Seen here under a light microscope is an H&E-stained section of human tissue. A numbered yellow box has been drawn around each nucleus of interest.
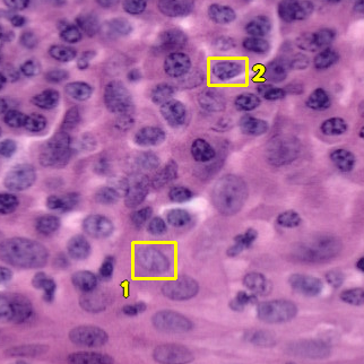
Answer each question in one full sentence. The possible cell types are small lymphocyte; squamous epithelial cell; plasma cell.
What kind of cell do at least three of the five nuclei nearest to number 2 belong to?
Plasma cells account for more than half of the five nuclei nearest to number 2.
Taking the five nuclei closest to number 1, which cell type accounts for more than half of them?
Squamous epithelial cells account for more than half of the five nuclei nearest to number 1.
